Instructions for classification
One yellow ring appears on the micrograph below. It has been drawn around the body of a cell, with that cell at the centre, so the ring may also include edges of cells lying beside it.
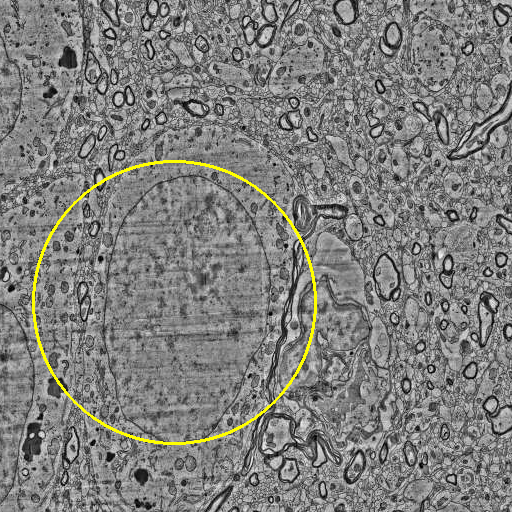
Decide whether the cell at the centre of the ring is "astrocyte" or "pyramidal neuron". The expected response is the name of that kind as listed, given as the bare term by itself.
pyramidal neuron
